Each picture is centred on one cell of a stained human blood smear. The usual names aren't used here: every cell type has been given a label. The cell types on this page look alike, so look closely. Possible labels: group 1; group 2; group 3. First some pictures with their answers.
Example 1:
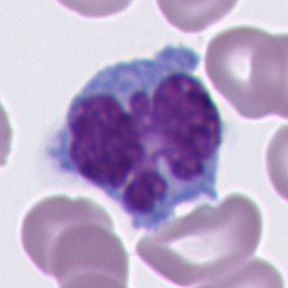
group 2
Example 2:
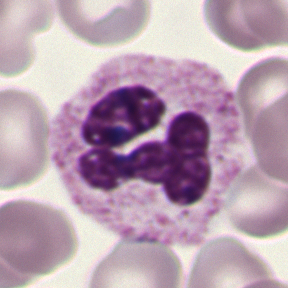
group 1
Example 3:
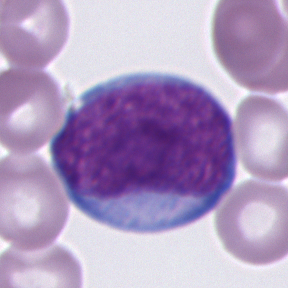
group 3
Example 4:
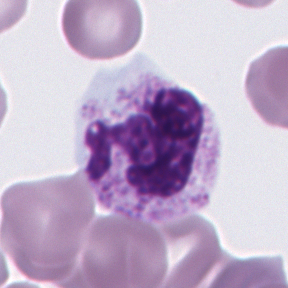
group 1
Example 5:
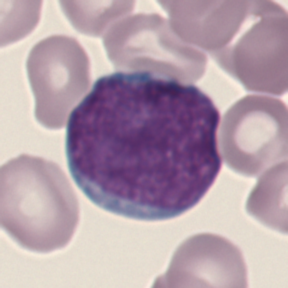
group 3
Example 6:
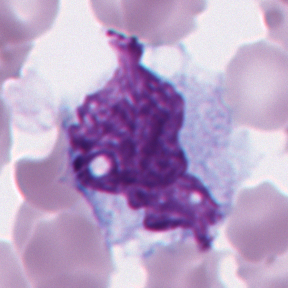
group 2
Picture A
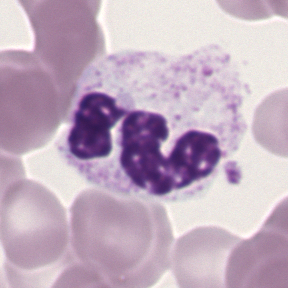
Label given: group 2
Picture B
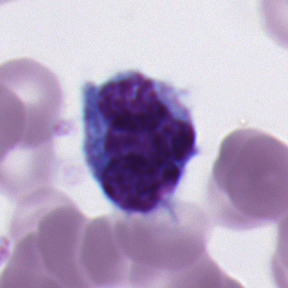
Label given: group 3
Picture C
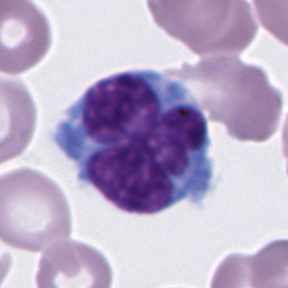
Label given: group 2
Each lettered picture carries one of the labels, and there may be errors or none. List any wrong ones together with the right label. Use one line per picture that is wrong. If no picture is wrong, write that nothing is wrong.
A: not group 2 but group 1
B: not group 3 but group 2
